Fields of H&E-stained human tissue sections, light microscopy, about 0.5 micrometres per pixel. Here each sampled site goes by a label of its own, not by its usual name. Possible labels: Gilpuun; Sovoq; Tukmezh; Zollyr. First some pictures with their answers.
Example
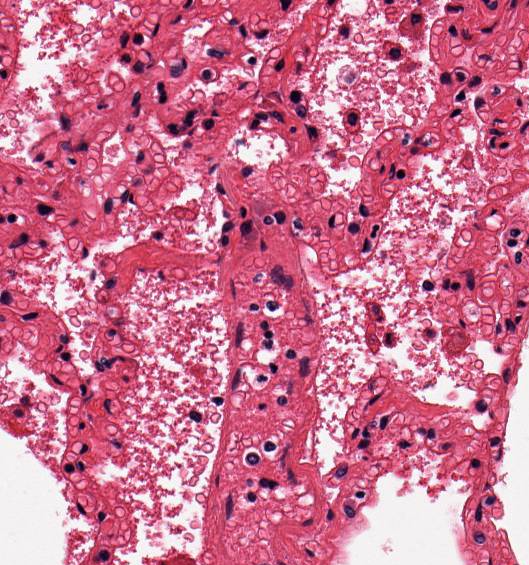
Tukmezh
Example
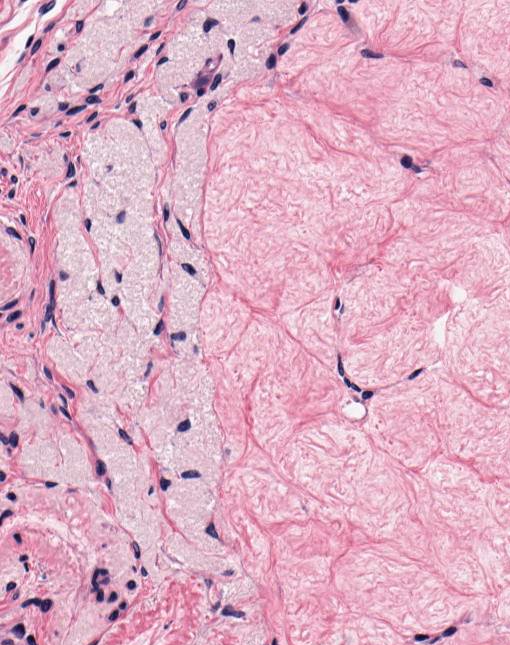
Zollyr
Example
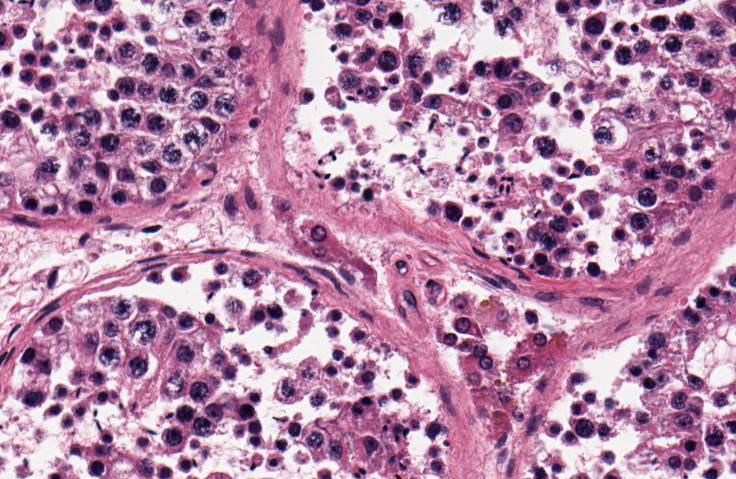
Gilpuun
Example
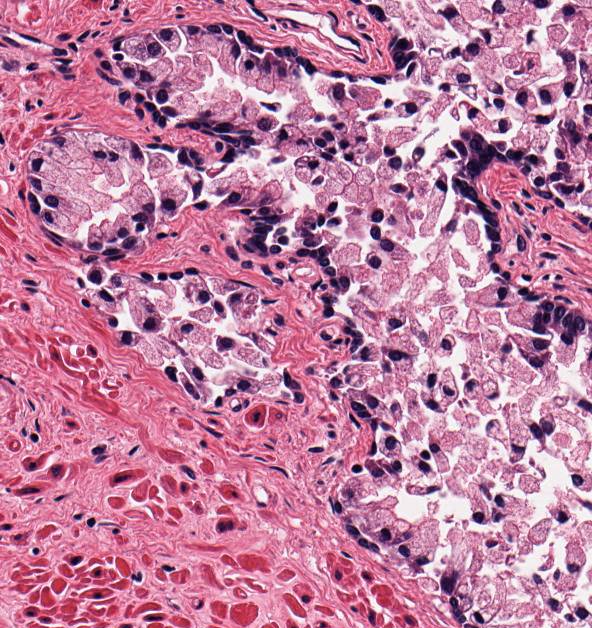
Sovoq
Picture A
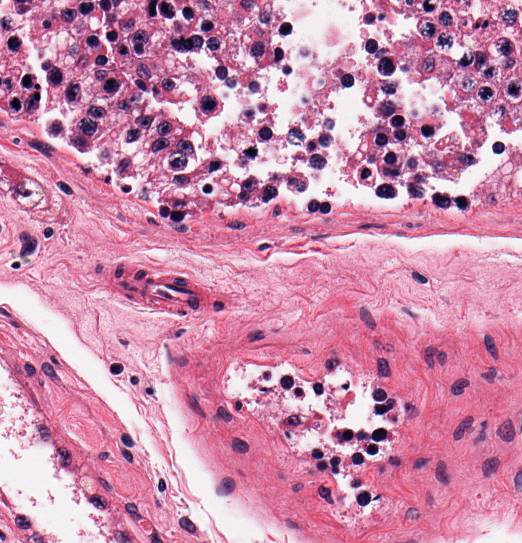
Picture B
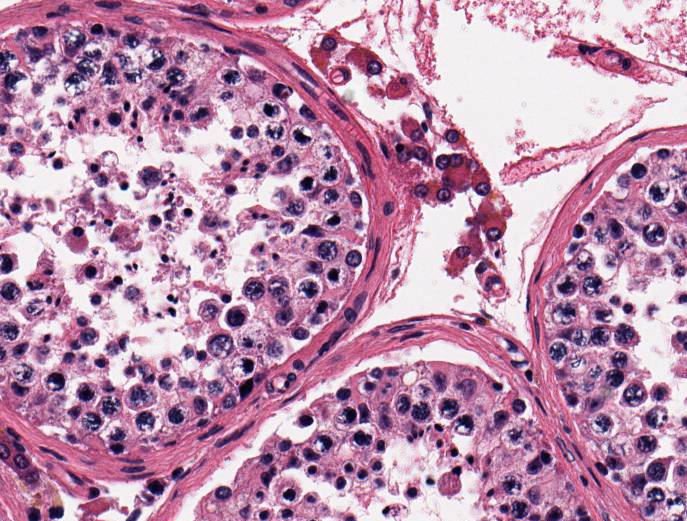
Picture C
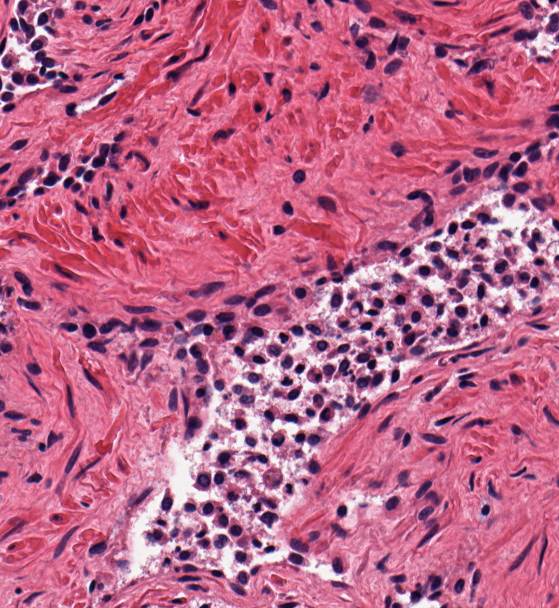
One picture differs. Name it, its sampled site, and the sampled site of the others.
C: Sovoq; all the others: Gilpuun.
